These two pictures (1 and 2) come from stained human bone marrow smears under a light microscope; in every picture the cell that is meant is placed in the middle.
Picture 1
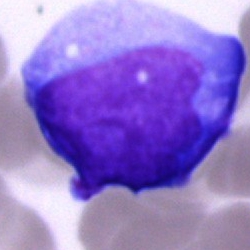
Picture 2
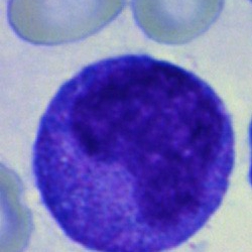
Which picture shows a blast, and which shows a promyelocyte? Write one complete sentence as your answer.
It is picture 1 that shows a blast, and picture 2 that shows a promyelocyte.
